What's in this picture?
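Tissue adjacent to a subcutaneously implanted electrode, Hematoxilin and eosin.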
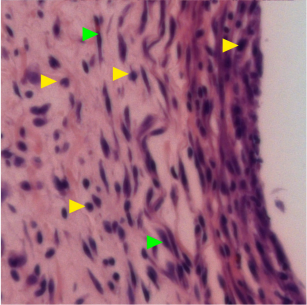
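Further away the tissue is looser and pink, and the spindle-shaped fibroblast nuclei run in wavy streams. Among them lie smaller, rounder, darker nuclei of inflammatory cells.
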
